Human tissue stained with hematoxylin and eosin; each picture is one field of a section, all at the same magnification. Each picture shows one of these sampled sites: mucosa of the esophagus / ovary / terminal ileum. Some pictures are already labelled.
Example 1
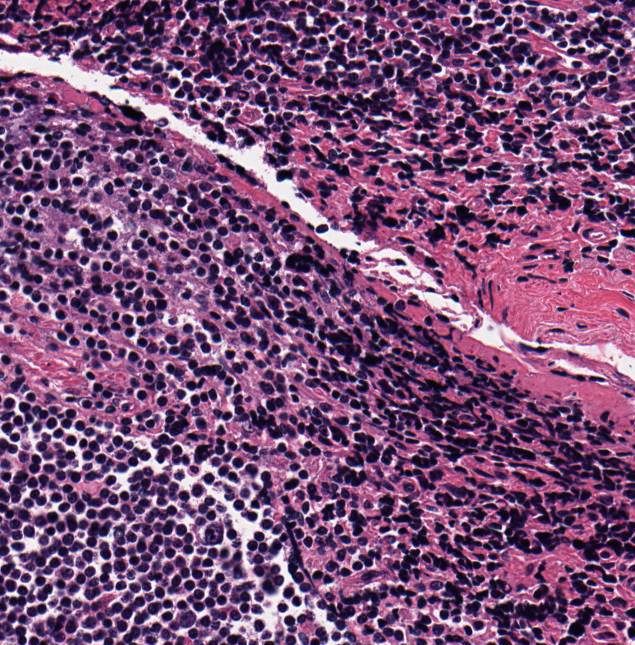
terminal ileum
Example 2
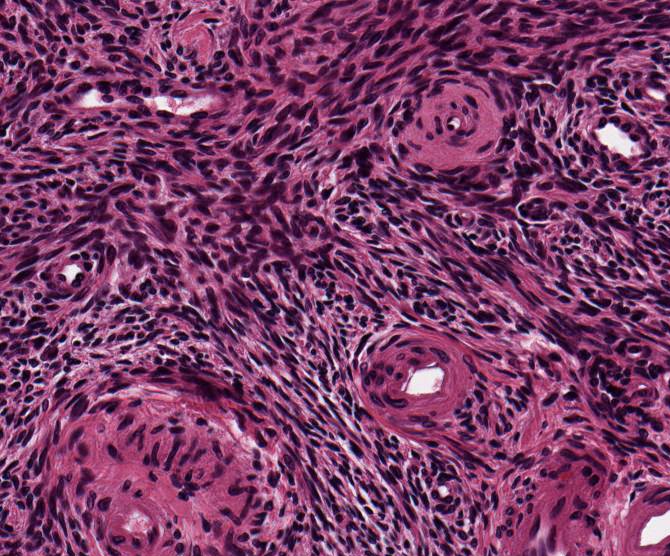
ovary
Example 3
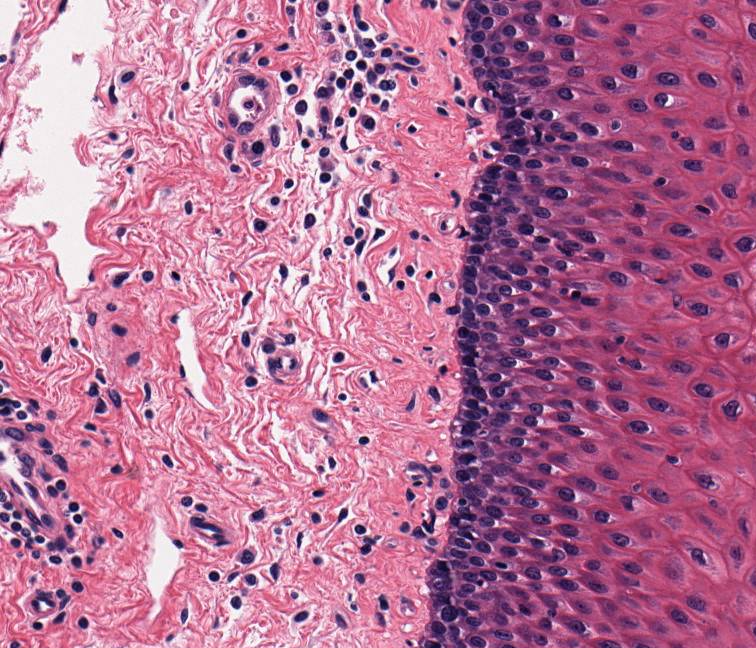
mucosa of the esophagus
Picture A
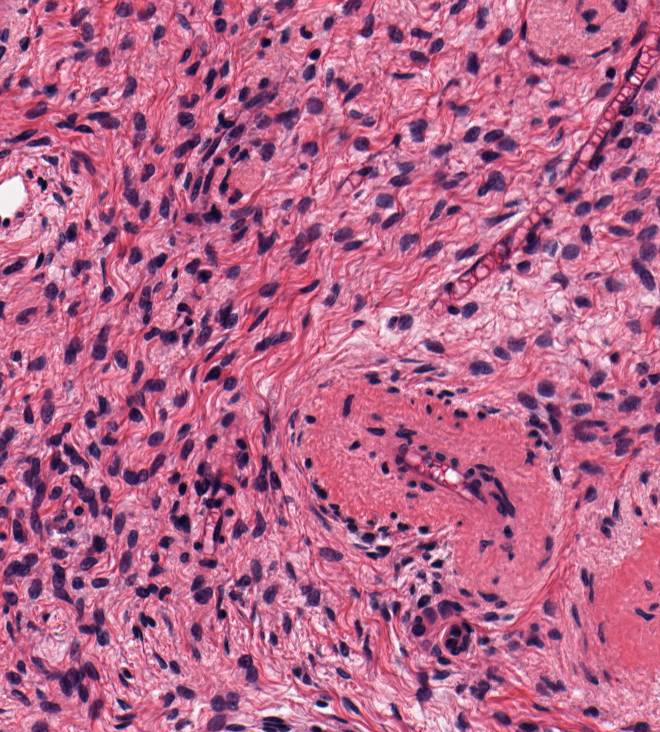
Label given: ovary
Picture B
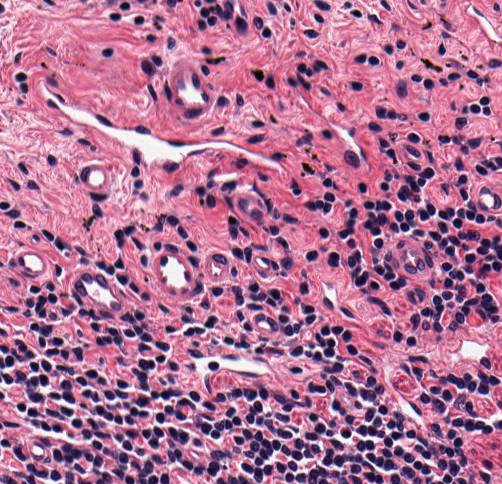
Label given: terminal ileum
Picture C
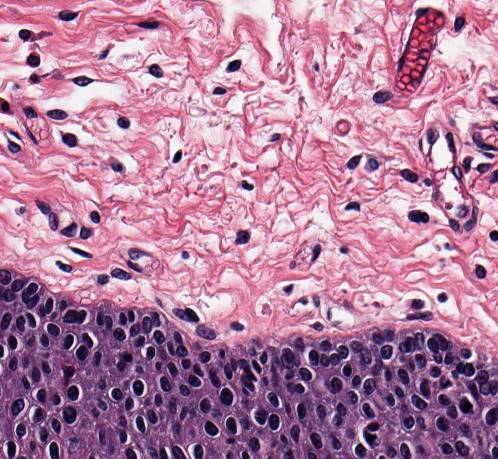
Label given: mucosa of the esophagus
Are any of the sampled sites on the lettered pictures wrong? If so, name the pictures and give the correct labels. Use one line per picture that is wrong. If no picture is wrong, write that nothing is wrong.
No label is wrong.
